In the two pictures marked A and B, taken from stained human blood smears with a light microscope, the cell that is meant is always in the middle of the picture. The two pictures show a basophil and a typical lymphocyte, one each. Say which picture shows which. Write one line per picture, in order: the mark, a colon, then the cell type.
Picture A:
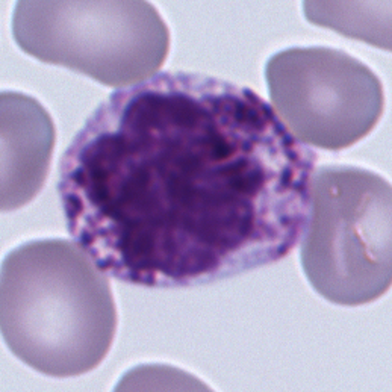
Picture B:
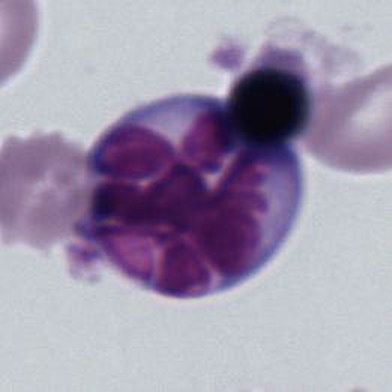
A: basophil
B: typical lymphocyte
